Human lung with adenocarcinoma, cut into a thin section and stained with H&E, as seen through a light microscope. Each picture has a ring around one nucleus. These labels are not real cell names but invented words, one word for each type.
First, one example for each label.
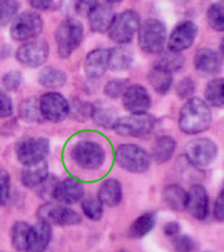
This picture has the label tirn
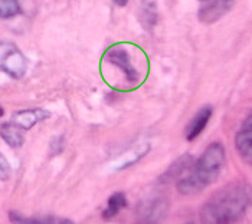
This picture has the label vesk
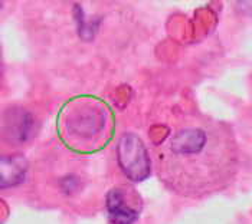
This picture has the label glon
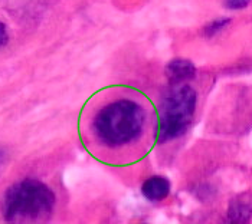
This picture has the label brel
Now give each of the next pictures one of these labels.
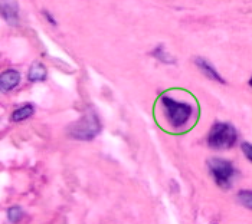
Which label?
vesk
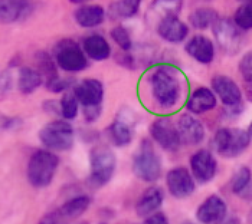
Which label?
tirn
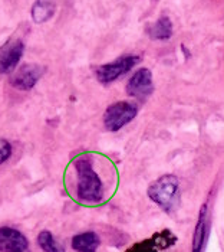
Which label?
vesk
